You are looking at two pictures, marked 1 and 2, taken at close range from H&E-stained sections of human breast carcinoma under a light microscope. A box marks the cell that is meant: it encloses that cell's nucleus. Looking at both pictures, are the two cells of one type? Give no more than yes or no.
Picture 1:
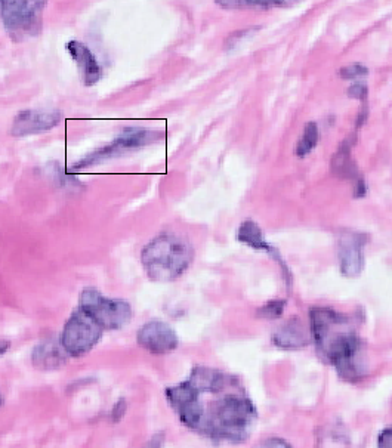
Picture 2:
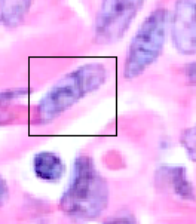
no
